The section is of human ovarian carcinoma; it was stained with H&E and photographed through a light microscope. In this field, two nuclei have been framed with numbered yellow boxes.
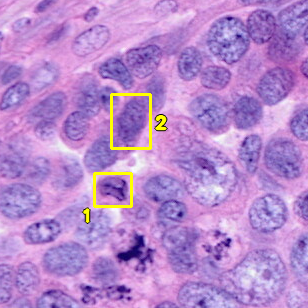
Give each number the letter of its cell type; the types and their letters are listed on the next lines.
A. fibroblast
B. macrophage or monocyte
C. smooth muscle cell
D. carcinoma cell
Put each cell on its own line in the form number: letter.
1: B
2: D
